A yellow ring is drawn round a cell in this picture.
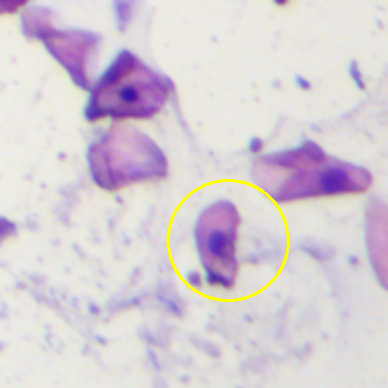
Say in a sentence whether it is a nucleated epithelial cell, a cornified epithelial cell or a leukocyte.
The cell in the ring is a nucleated epithelial cell.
